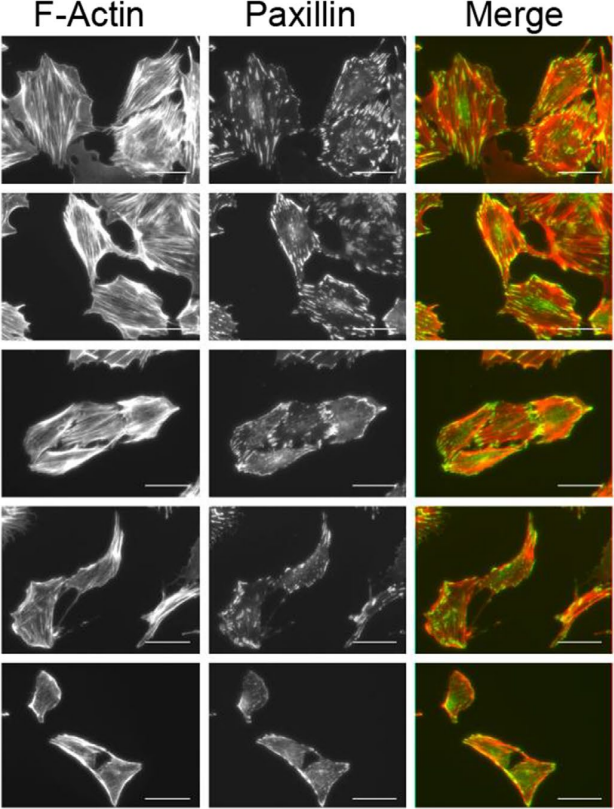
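Short bright dash-like green spots sit at the ends of these fibres, many toward the cell margins, where they look like focal adhesions anchoring the fibres. In the top row the cells are large and broadly spread, with dense bundles of parallel stress fibres. In the lower rows the cells are smaller, more angular or elongated and spread less. In these smaller cells the red fibres and green adhesions gather more along the cell edges.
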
